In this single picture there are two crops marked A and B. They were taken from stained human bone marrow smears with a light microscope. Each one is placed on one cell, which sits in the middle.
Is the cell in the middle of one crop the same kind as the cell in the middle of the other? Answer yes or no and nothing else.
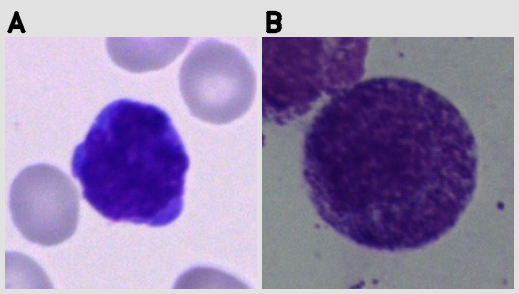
no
